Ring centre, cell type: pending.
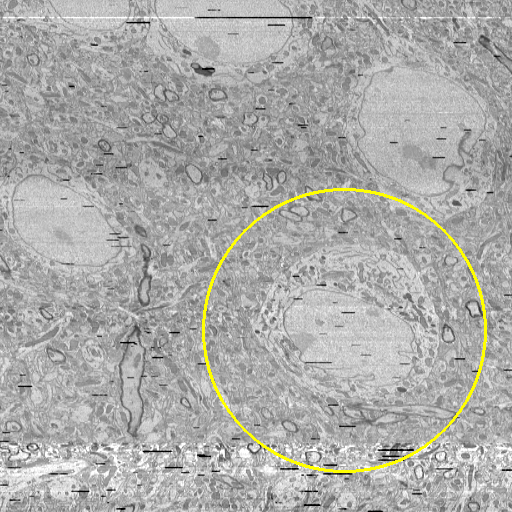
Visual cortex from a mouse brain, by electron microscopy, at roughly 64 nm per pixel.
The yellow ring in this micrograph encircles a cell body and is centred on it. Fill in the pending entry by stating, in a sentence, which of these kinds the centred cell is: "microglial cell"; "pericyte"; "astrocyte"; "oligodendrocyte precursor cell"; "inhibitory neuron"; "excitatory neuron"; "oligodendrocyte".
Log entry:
The centred cell is recorded as an inhibitory neuron.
